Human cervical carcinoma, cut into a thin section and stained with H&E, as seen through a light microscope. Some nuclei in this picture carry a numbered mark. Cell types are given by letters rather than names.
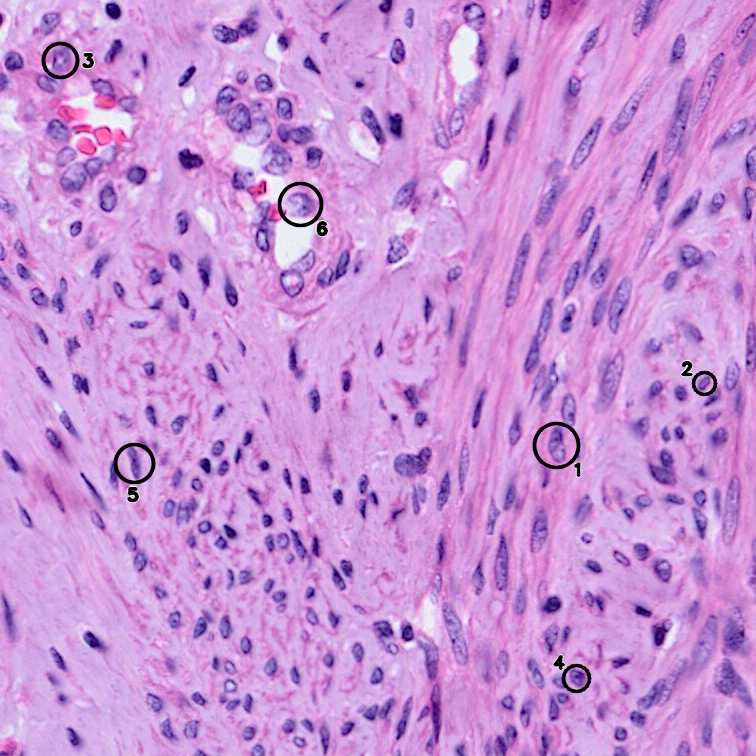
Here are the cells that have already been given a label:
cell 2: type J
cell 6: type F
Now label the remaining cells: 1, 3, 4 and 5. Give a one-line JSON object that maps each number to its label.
{"1": "type J", "3": "type F", "4": "type J", "5": "type J"}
